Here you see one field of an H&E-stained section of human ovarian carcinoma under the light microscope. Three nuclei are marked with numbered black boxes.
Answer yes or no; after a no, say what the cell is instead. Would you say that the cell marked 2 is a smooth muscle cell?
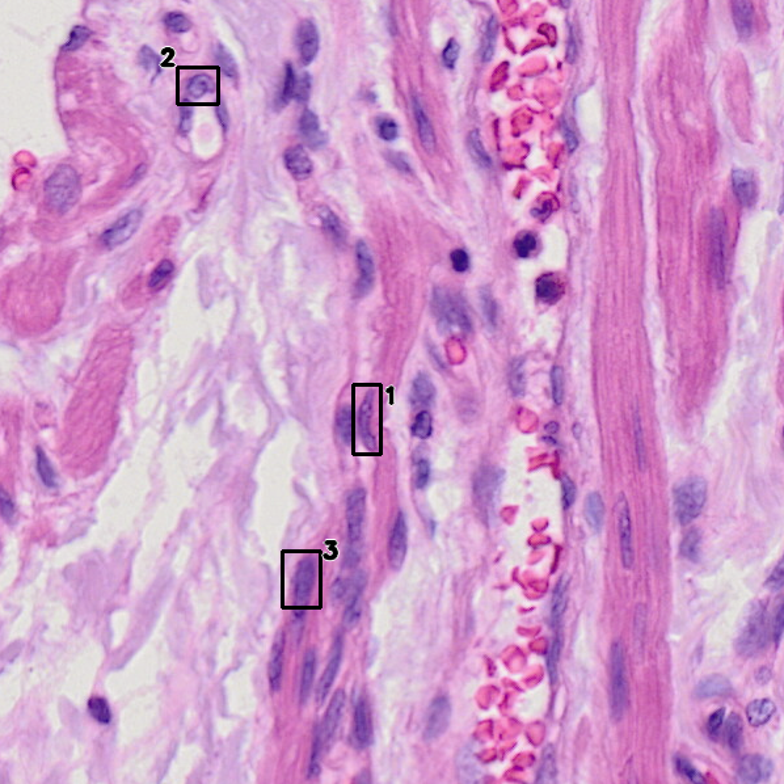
No, it is an endothelial cell.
